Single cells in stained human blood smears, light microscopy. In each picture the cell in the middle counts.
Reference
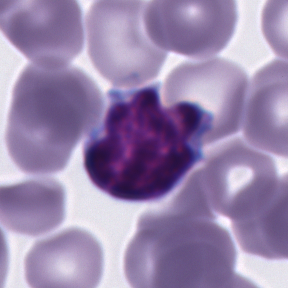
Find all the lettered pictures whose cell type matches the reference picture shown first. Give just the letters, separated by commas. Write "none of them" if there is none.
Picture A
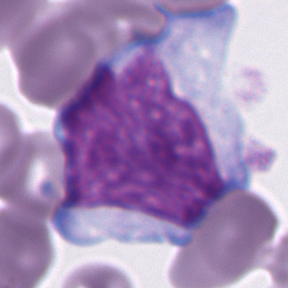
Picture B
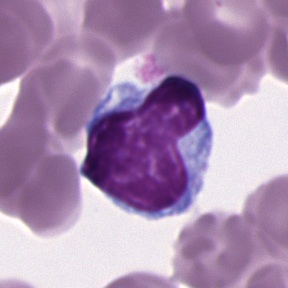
B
